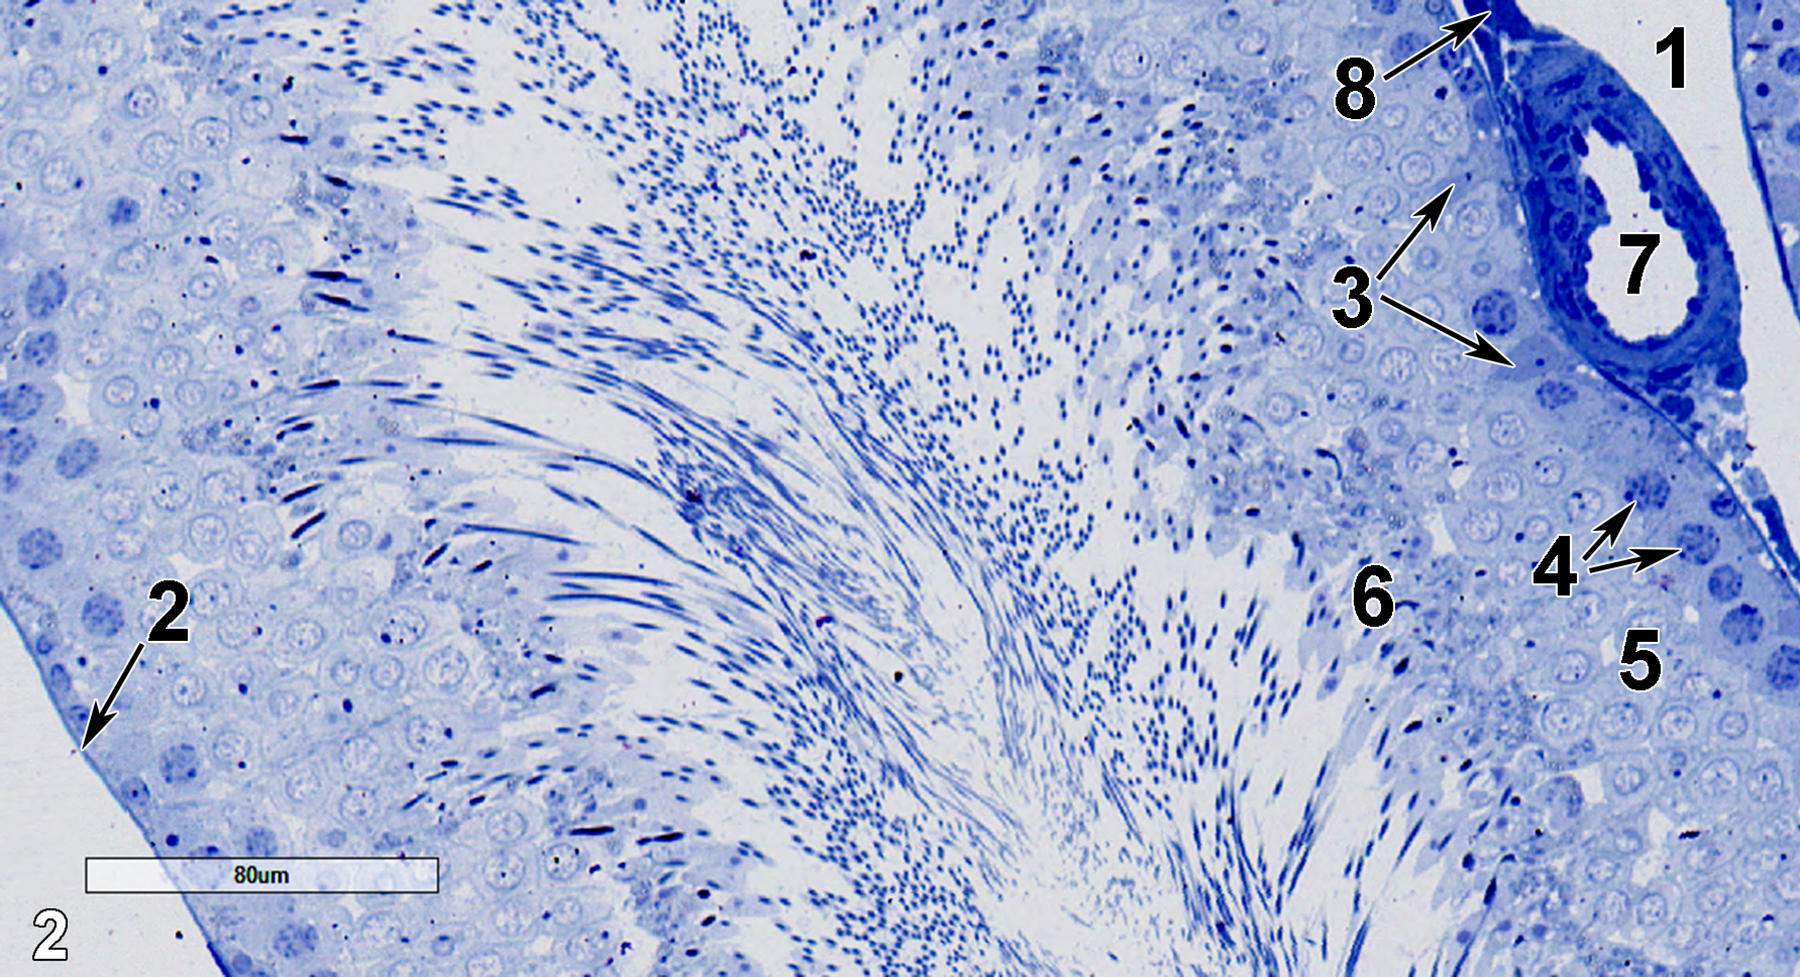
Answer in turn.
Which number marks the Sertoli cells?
3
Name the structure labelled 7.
arteriole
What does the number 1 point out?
1 marks the interstitial lymphatic space.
